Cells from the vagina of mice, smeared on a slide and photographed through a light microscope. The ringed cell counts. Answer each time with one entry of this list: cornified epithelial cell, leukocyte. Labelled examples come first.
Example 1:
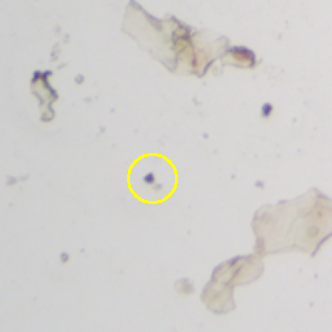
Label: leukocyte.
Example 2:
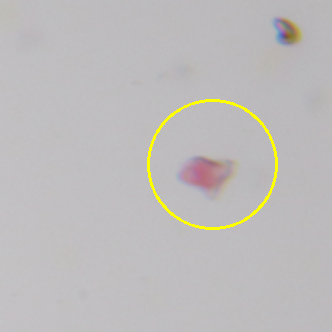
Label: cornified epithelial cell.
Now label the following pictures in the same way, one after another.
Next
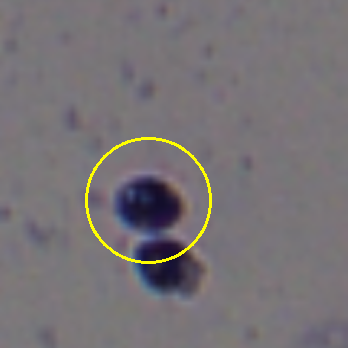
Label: leukocyte.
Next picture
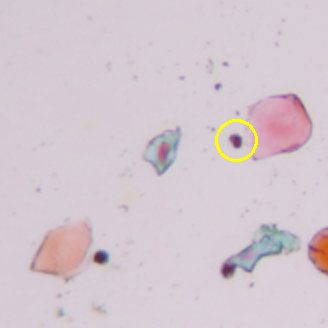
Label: leukocyte.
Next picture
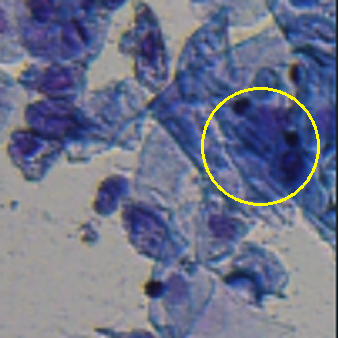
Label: cornified epithelial cell.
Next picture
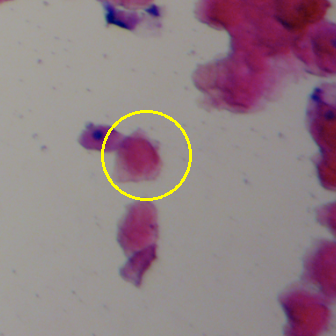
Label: cornified epithelial cell.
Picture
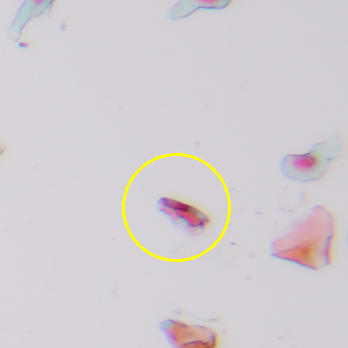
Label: cornified epithelial cell.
